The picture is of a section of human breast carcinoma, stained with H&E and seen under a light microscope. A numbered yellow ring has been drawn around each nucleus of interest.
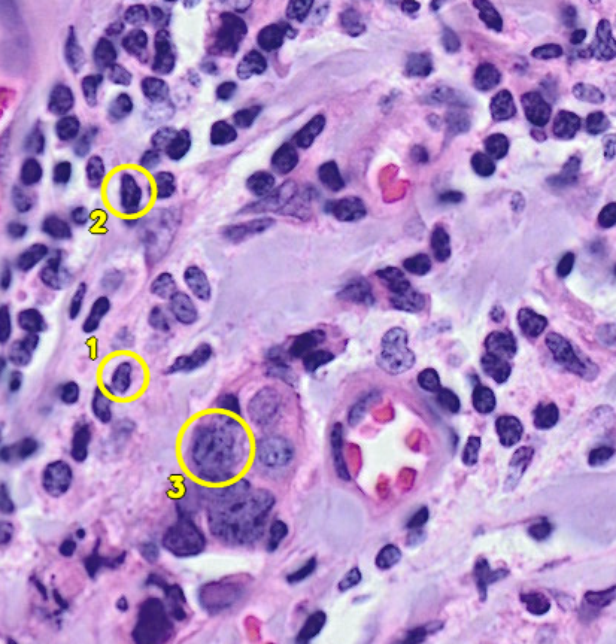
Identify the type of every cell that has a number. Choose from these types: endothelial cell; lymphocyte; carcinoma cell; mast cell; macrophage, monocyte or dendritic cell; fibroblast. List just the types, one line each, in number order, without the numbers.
lymphocyte
lymphocyte
carcinoma cell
